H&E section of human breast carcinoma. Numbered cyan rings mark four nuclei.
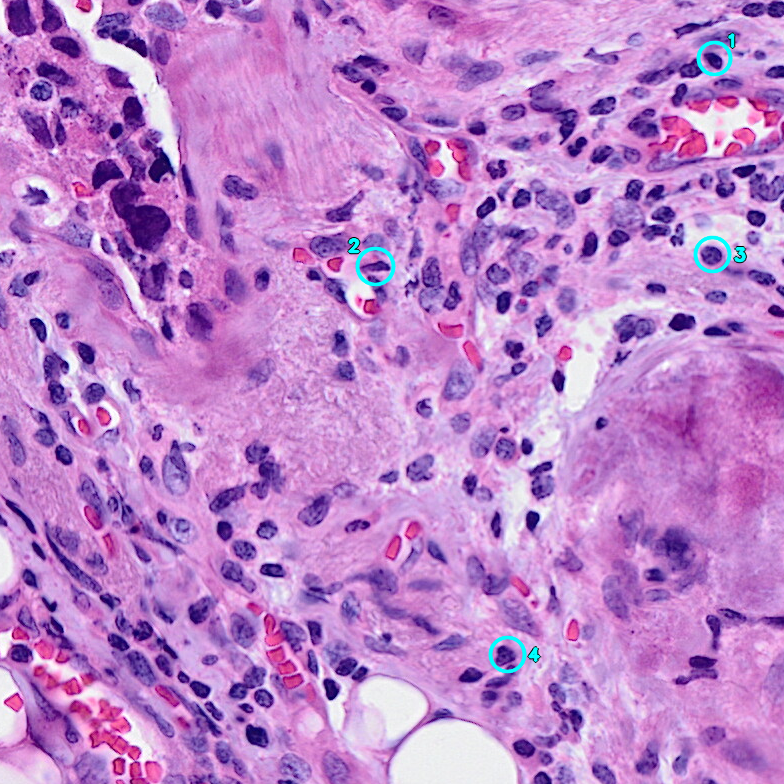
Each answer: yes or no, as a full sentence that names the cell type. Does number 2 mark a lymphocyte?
No, cell 2 is classified as an endothelial cell rather than a lymphocyte.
